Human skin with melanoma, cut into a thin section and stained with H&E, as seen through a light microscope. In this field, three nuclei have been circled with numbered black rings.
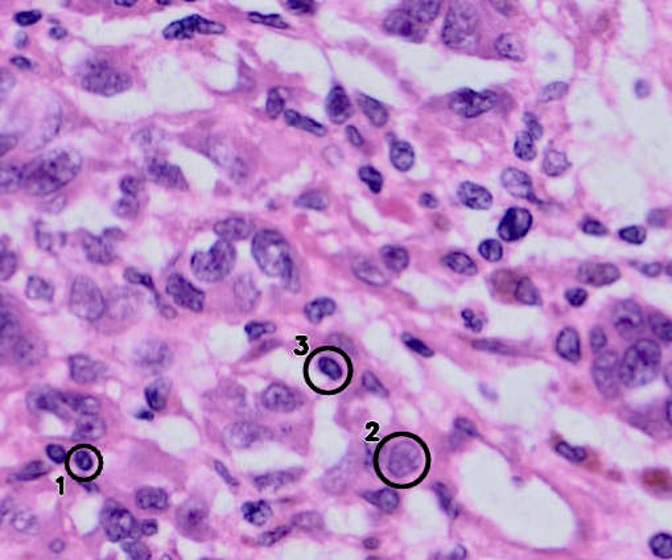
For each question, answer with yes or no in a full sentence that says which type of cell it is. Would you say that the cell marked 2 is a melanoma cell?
Yes, kindly take note: the cell numbered 2 is a melanoma cell.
